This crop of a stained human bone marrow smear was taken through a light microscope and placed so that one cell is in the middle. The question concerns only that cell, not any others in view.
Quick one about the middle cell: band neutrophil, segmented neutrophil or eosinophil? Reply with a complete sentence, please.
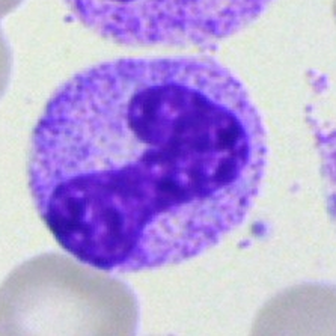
This crop is built around a band neutrophil at its centre.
